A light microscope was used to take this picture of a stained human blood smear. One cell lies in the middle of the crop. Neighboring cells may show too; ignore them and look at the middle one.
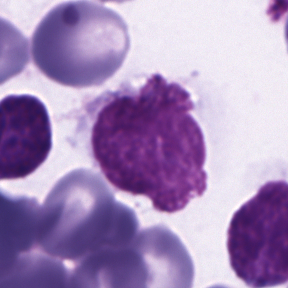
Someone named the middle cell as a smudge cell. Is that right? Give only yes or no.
yes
